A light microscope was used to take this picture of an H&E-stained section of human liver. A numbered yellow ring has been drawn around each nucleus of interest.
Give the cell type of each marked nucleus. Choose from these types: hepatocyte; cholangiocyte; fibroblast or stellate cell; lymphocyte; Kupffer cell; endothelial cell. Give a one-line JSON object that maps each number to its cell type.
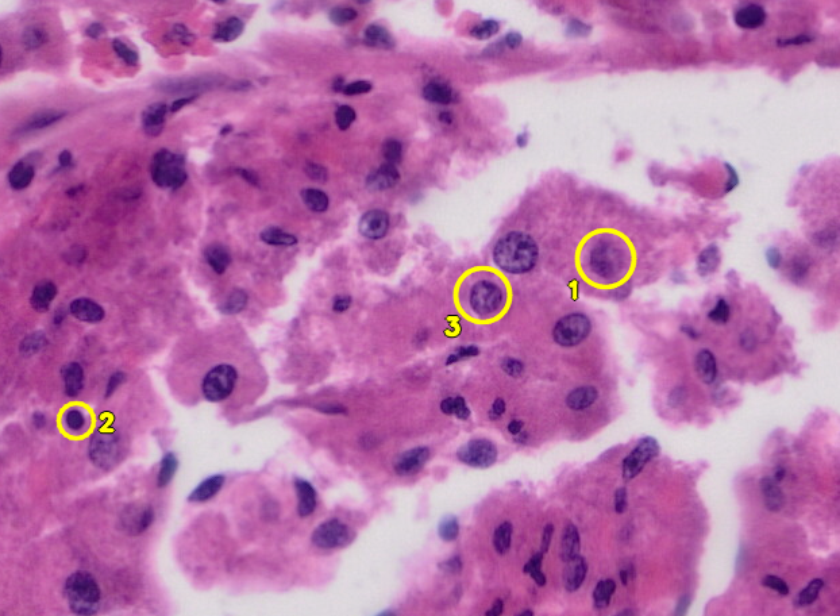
{"1": "hepatocyte", "2": "lymphocyte", "3": "hepatocyte"}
